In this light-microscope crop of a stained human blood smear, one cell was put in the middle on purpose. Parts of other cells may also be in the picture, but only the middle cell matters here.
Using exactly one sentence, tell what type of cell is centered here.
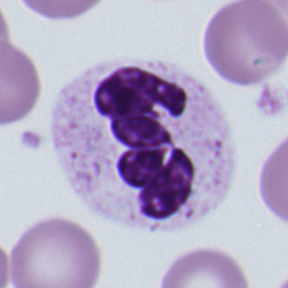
At the center of the crop sits a neutrophil.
